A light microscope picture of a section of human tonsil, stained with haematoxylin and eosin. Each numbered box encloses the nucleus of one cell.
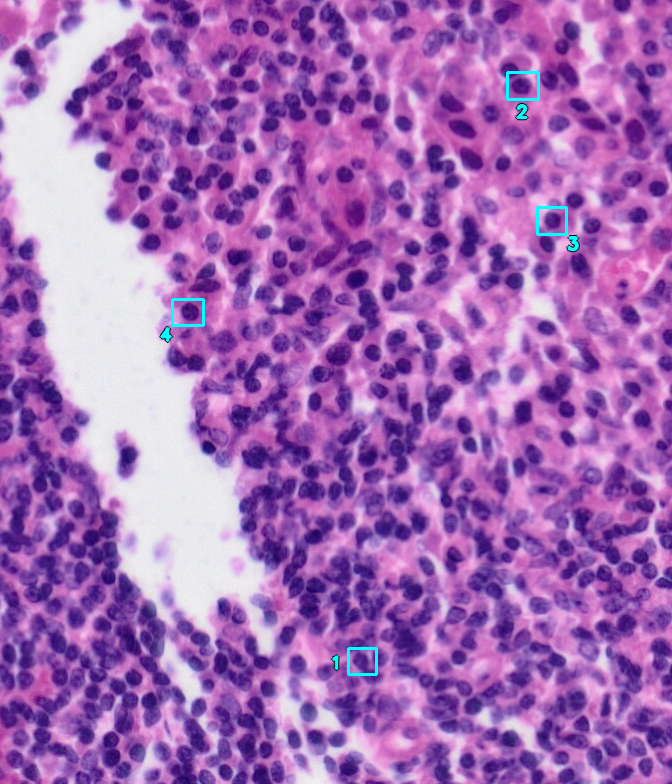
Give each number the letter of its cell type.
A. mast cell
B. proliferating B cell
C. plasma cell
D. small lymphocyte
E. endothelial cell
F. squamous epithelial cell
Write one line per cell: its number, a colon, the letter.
1: D
2: C
3: C
4: C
